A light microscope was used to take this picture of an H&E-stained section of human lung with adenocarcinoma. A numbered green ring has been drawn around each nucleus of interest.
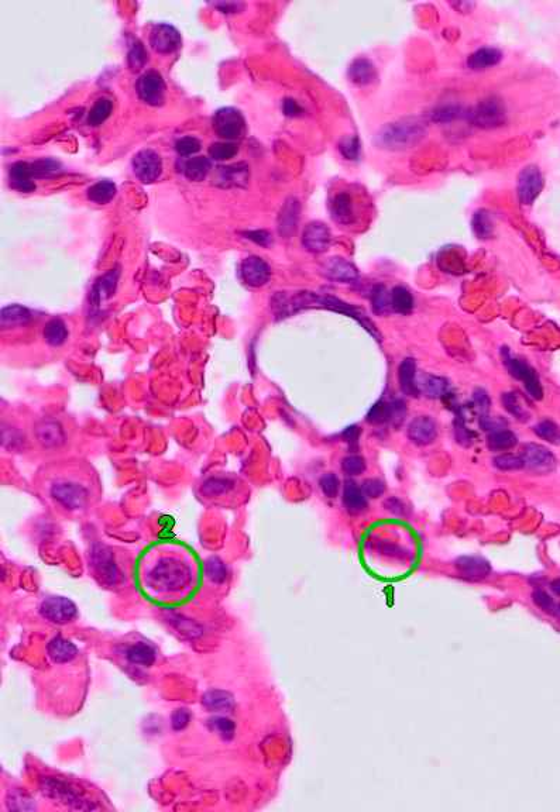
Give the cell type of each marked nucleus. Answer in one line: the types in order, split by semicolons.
endothelial cell; macrophage or monocyte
